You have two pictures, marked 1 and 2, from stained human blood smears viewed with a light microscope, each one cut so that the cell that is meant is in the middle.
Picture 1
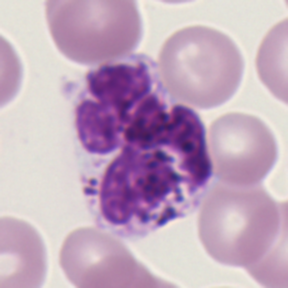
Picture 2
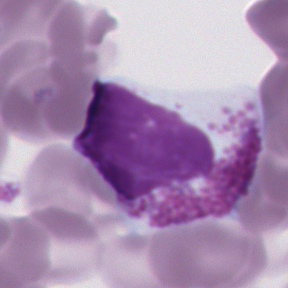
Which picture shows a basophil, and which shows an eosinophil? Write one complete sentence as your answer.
It is picture 1 that shows a basophil, and picture 2 that shows an eosinophil.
